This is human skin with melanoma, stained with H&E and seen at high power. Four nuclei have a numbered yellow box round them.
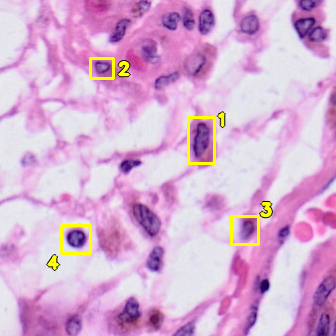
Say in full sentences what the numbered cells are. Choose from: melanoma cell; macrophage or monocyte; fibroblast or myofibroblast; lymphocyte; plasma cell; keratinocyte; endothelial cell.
Cell 1 is a macrophage or monocyte, cell 2 is a macrophage or monocyte, cell 3 is a macrophage or monocyte and cell 4 is a lymphocyte.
